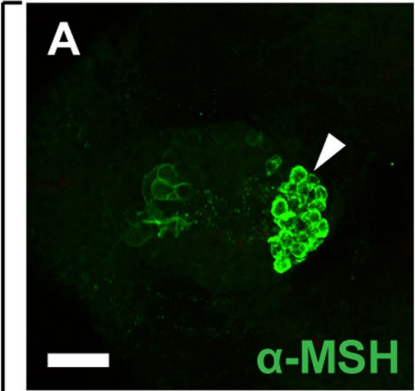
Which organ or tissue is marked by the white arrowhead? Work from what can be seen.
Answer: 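A compact cluster of brightly outlined round cells lies to the right of the midline region. The cluster is separate from a smaller, fainter group of cells further left.
Answer: pituitary gland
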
